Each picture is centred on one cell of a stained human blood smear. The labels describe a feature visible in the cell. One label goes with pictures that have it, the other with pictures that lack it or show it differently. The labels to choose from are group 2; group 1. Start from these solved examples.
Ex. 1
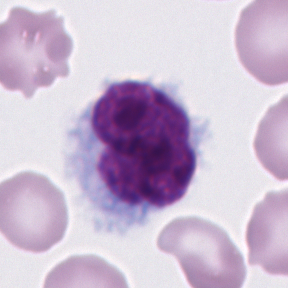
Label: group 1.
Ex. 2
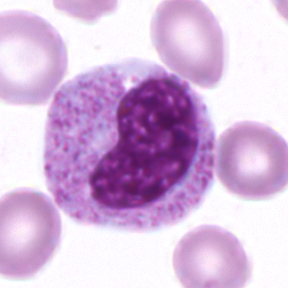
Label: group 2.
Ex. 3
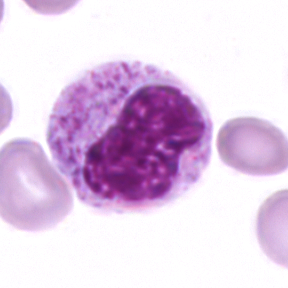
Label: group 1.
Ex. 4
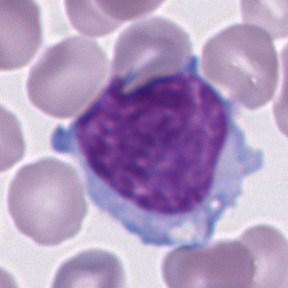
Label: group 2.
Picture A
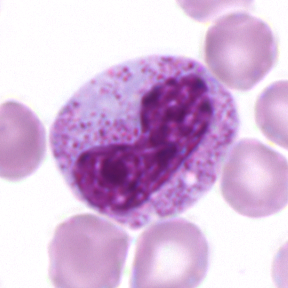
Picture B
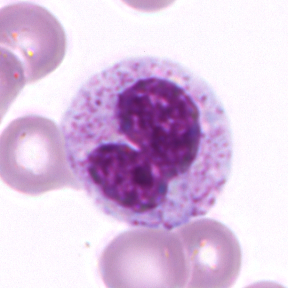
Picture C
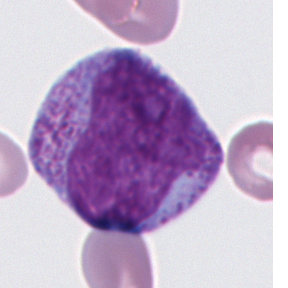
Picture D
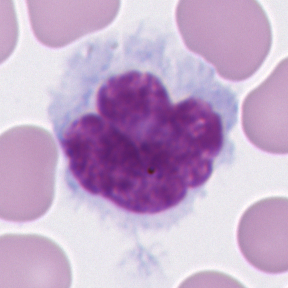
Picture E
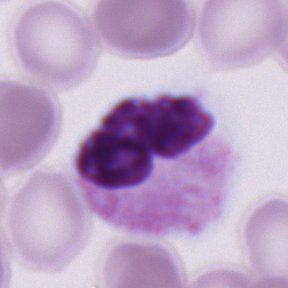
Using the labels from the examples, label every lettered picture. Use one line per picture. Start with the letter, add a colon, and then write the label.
A: group 1.
B: group 2.
C: group 2.
D: group 1.
E: group 1.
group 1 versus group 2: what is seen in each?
group 1: lobed nucleus; group 2: single compact nucleus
